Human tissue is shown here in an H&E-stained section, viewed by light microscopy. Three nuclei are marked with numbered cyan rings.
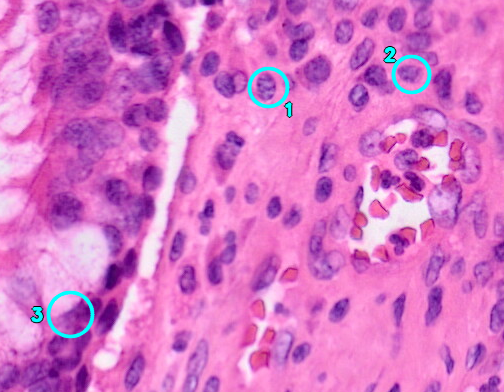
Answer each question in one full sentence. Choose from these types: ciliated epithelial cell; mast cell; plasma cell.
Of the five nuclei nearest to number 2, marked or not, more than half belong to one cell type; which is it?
Plasma cells make up most of the five nuclei closest to number 2.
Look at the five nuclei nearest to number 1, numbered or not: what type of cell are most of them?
Plasma cells make up most of the five nuclei closest to number 1.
